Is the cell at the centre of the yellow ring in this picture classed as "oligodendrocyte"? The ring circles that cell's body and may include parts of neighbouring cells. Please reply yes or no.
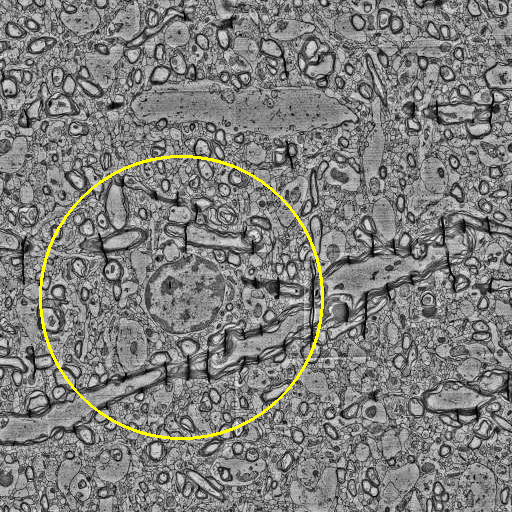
No, it is of another kind.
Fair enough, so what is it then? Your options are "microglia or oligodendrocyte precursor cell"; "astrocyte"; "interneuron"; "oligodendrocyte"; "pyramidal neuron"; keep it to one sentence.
Instead, what sits at the centre of the ring is a microglial cell or oligodendrocyte precursor cell.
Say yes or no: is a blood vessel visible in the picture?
No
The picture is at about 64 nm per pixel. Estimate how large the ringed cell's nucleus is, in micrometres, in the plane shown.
In this plane the nucleus spans approximately 6 by 5 micrometers.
